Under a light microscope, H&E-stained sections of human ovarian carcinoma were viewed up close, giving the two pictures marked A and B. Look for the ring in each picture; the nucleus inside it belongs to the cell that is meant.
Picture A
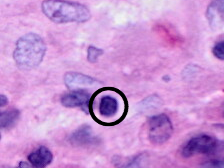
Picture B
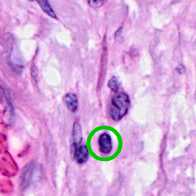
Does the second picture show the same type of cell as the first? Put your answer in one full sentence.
Yes, the two pictures both show lymphocytes.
